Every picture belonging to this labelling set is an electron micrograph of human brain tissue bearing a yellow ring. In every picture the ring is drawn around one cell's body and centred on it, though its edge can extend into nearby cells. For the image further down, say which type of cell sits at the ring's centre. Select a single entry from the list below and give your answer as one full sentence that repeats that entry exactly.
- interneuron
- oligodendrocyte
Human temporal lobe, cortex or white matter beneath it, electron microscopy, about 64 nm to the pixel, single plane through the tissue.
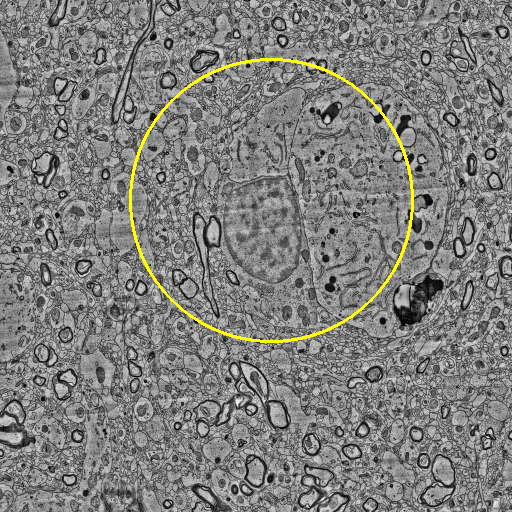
In the picture, an oligodendrocyte is the cell at the centre of the yellow ring.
